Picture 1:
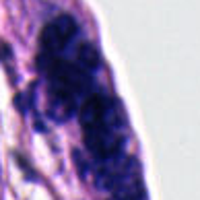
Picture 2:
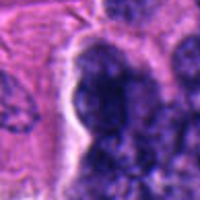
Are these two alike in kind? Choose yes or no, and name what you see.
Yes. Syncytial knots.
